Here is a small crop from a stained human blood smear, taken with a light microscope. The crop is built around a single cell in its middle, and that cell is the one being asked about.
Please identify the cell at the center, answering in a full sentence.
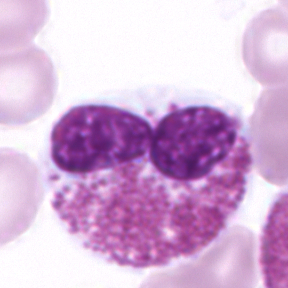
The cell found in the middle of this crop is an eosinophil.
